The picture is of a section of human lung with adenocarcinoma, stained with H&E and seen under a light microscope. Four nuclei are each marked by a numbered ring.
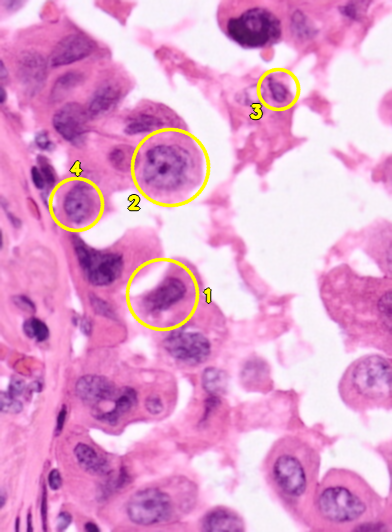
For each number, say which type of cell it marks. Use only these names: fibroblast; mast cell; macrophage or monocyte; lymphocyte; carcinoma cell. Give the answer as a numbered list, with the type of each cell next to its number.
1. carcinoma cell
2. carcinoma cell
3. macrophage or monocyte
4. carcinoma cell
